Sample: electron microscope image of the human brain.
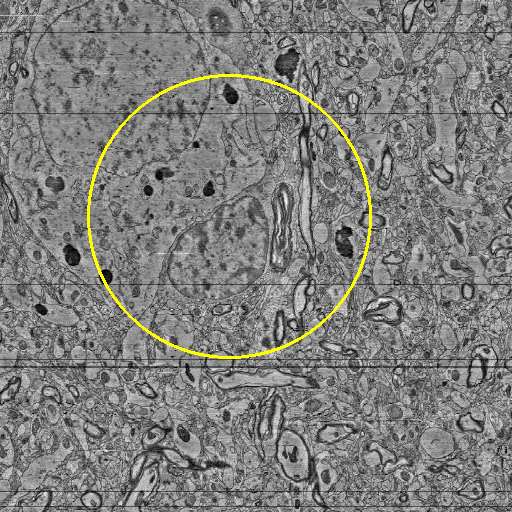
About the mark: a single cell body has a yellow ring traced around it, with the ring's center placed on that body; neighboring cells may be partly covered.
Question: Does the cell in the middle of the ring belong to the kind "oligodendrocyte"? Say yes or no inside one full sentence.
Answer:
Yes, the cell at the ring's center in this image belongs to that kind.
